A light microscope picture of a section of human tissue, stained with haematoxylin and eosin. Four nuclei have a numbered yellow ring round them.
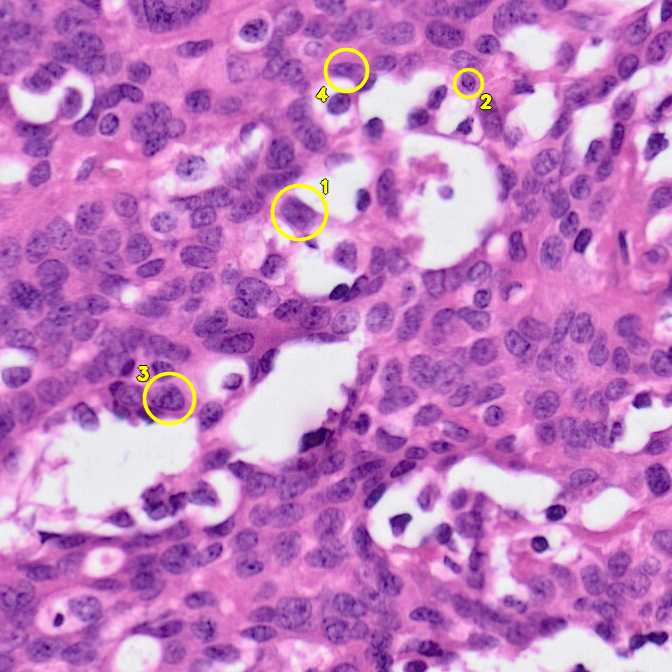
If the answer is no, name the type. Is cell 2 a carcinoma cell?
No, it is a macrophage or monocyte.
